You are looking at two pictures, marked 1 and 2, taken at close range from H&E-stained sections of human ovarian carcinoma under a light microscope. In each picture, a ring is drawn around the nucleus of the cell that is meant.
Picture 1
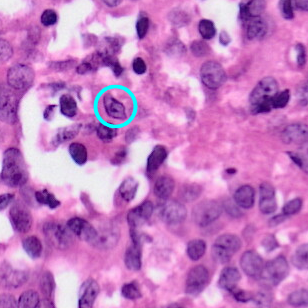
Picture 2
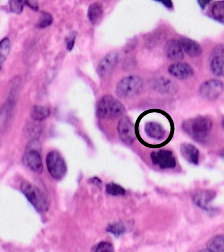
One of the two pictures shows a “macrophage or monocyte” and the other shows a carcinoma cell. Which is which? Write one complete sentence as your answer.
Picture 1 is of a “macrophage or monocyte”, and picture 2 is of a carcinoma cell.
